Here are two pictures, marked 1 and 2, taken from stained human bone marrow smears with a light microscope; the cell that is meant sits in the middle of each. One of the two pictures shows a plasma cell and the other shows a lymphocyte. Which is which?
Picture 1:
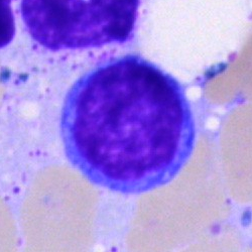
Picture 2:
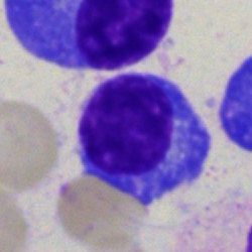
1: lymphocyte
2: plasma cell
